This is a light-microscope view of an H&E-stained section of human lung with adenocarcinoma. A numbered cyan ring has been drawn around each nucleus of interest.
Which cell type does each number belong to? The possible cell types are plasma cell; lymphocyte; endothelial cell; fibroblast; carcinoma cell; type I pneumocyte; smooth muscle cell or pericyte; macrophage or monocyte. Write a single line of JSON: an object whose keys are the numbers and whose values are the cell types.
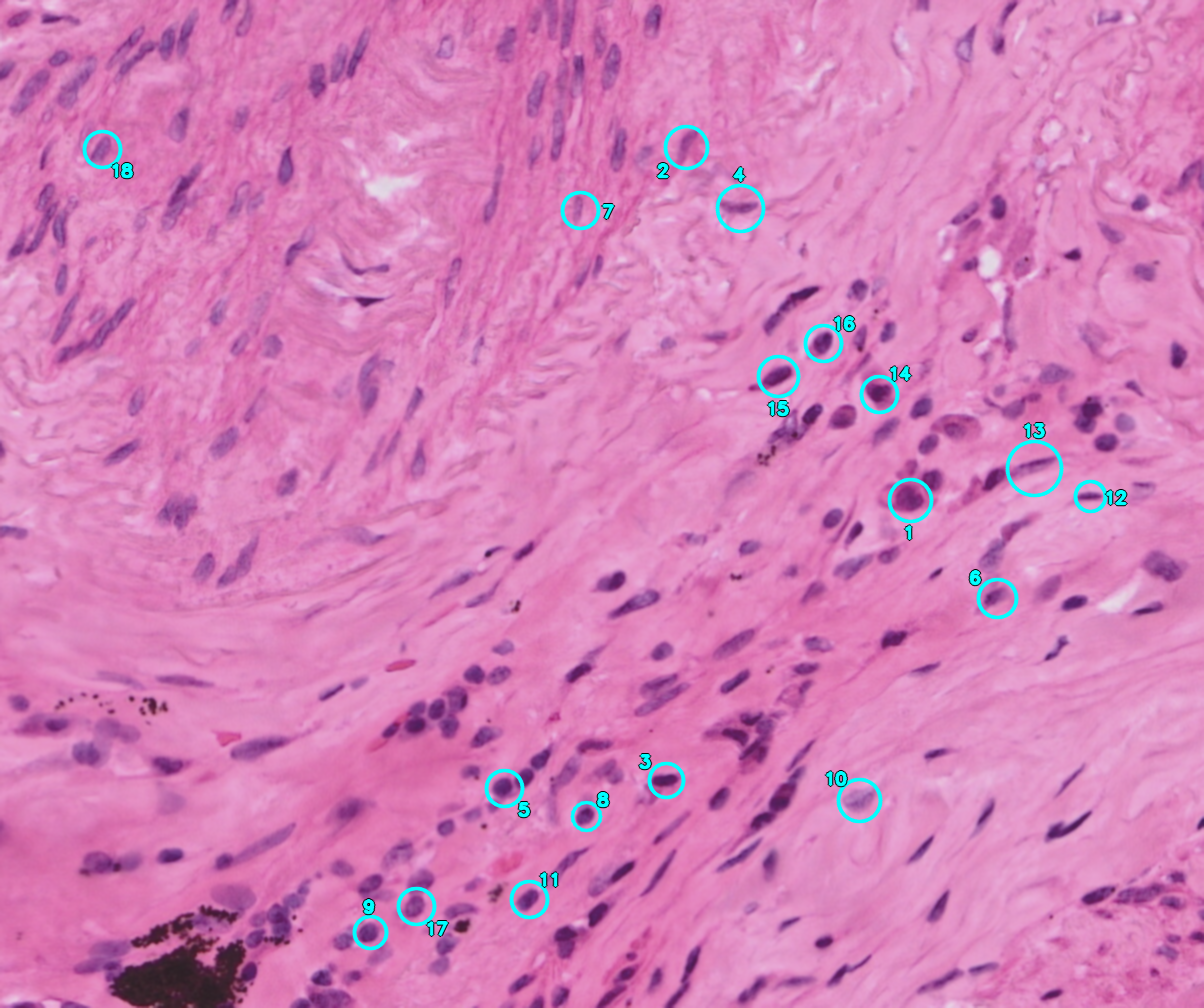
{"1": "plasma cell", "2": "smooth muscle cell or pericyte", "3": "plasma cell", "4": "fibroblast", "5": "lymphocyte", "6": "plasma cell", "7": "smooth muscle cell or pericyte", "8": "lymphocyte", "9": "lymphocyte", "10": "fibroblast", "11": "lymphocyte", "12": "fibroblast", "13": "fibroblast", "14": "plasma cell", "15": "plasma cell", "16": "plasma cell", "17": "lymphocyte", "18": "smooth muscle cell or pericyte"}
